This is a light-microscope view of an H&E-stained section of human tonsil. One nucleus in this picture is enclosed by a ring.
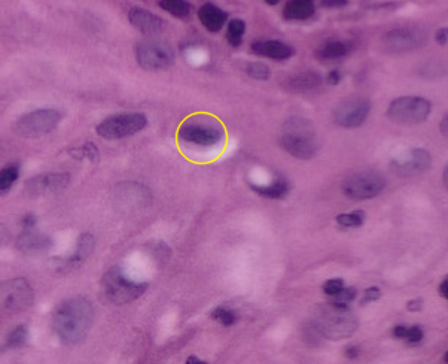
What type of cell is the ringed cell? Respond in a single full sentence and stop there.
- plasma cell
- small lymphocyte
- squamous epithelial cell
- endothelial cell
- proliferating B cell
In the context of this tissue, the ringed cell is a squamous epithelial cell.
